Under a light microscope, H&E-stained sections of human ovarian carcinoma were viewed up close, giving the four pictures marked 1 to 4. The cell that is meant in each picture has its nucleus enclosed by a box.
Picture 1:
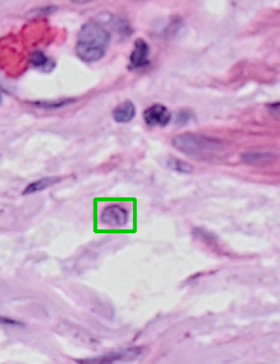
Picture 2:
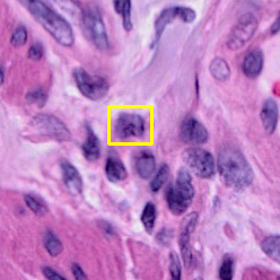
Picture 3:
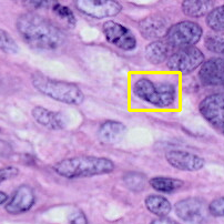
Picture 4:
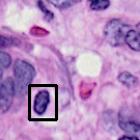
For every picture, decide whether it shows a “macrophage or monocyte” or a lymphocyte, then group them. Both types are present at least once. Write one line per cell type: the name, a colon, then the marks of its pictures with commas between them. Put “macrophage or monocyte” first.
macrophage or monocyte: 1, 2, 3
lymphocyte: 4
